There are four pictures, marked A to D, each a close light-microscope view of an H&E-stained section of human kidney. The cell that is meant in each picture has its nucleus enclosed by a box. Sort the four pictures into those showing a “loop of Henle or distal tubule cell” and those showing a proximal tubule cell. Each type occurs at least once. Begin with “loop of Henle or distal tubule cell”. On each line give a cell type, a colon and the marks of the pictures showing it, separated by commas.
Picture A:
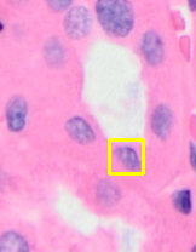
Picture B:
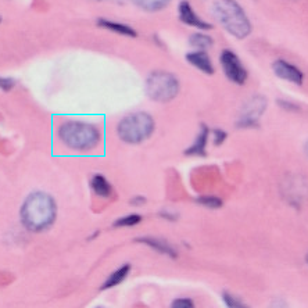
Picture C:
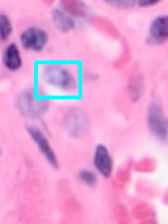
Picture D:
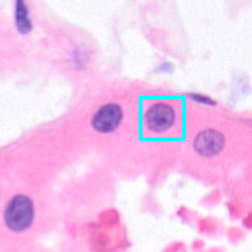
loop of Henle or distal tubule cell: A, B, C
proximal tubule cell: D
